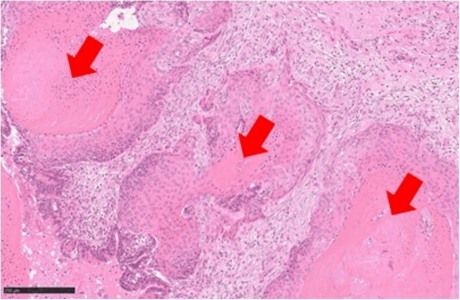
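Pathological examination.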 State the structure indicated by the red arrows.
Keratinous material.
